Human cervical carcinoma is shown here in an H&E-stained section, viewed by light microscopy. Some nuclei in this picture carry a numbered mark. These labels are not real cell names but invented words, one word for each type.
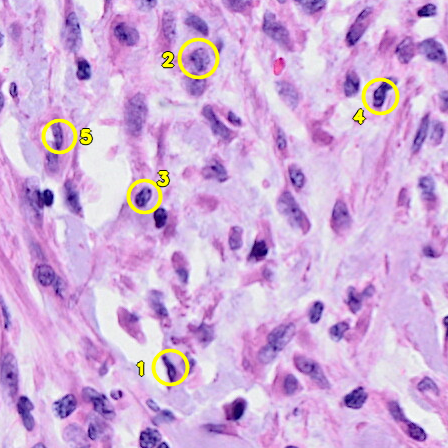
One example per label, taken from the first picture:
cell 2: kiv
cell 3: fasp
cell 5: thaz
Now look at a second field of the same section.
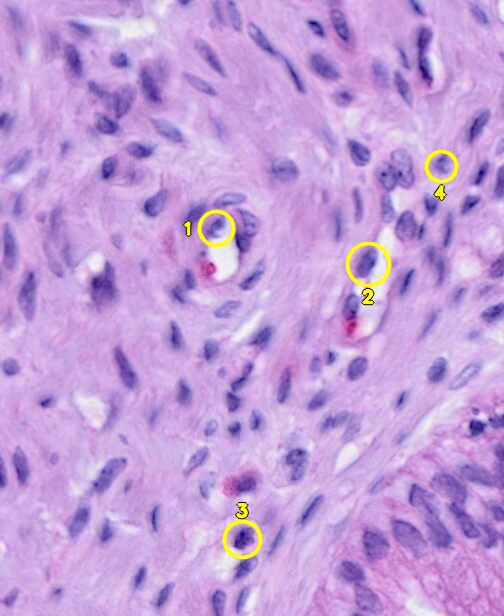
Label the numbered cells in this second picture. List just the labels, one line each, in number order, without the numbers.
thaz
thaz
fasp
kiv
